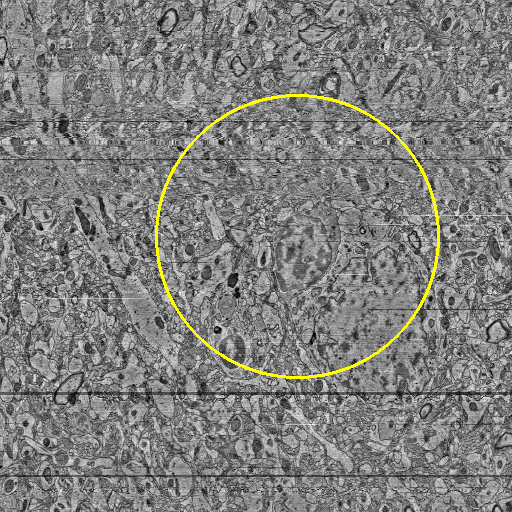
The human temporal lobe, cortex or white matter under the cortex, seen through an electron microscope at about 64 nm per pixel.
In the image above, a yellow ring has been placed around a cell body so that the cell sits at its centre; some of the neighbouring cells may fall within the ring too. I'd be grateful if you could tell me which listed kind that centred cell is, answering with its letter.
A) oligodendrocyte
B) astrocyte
A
